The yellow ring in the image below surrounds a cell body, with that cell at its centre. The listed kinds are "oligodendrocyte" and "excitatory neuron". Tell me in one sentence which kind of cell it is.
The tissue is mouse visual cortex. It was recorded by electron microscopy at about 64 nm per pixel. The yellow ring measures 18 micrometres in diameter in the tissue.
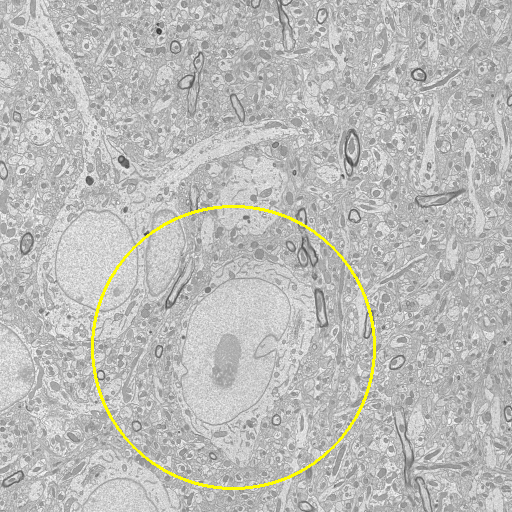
The centre of the ring holds an excitatory neuron.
